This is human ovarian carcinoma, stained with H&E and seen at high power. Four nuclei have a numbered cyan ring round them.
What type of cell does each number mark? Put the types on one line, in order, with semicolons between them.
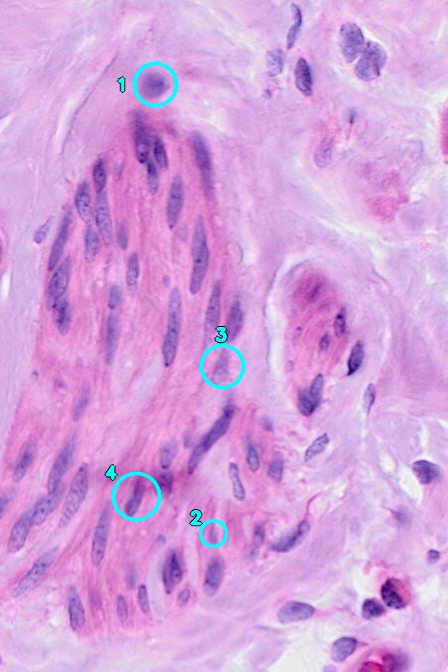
fibroblast; smooth muscle cell; smooth muscle cell; smooth muscle cell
